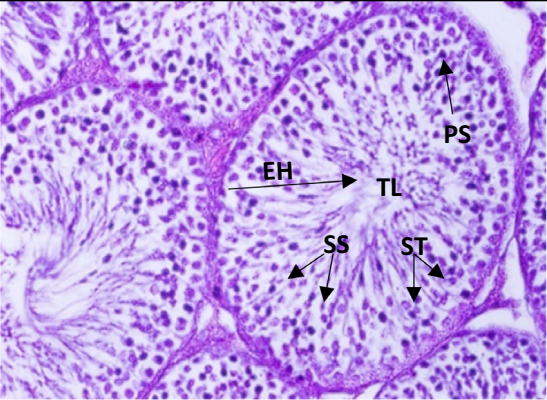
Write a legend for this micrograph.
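A seminiferous tubule in cross-section fills most of the view, lined by a thick stratified epithelium of round cells with dark purple nuclei stacked from the base toward the centre. Larger round nuclei sit in the middle layers, while smaller cells crowd nearer the lumen. The lumen is small and holds a pale whorl of fine fibrous tails streaming toward the centre. Thin pink connective tissue separates this tubule from its neighbours.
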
